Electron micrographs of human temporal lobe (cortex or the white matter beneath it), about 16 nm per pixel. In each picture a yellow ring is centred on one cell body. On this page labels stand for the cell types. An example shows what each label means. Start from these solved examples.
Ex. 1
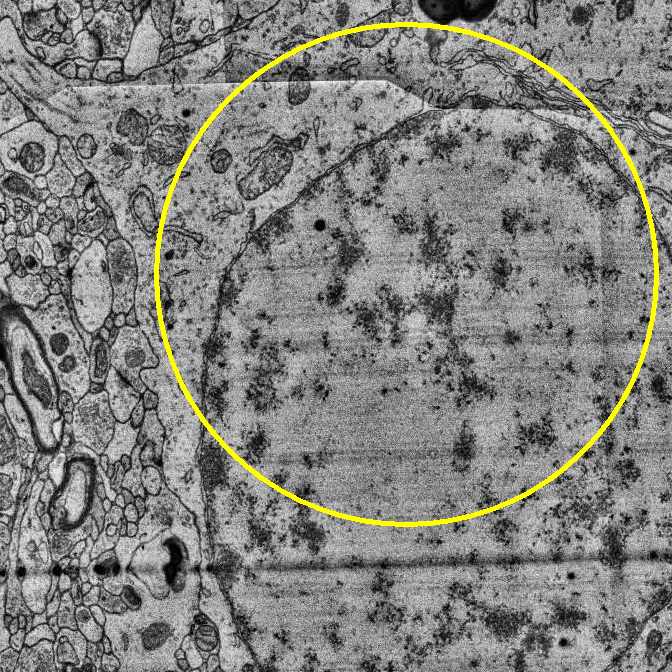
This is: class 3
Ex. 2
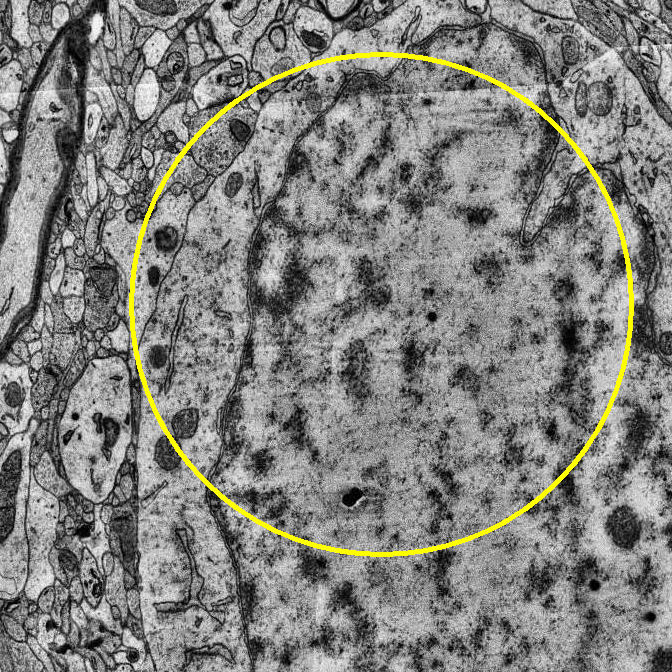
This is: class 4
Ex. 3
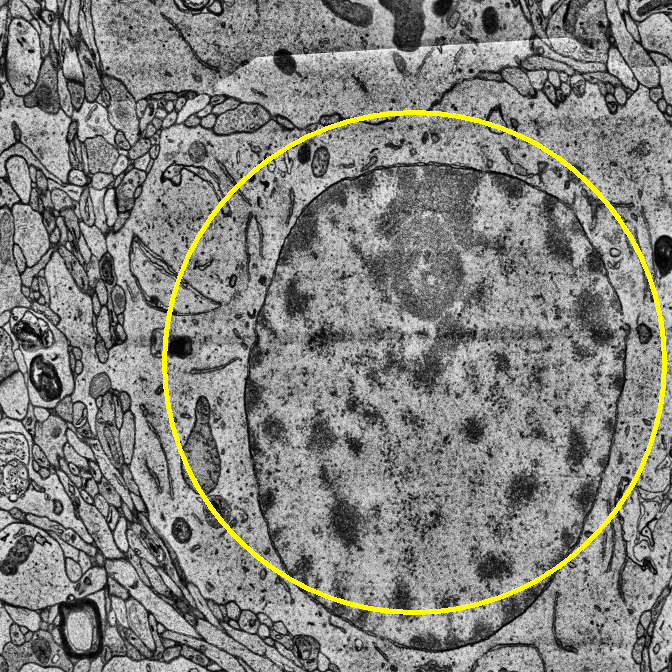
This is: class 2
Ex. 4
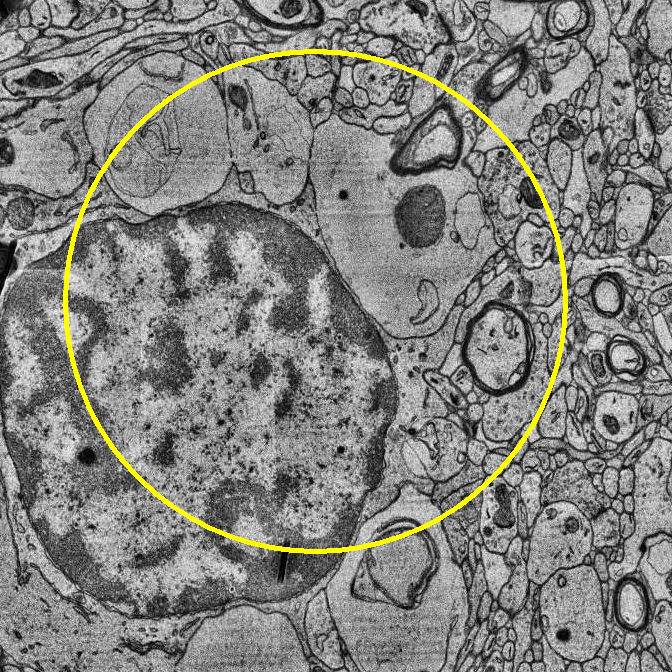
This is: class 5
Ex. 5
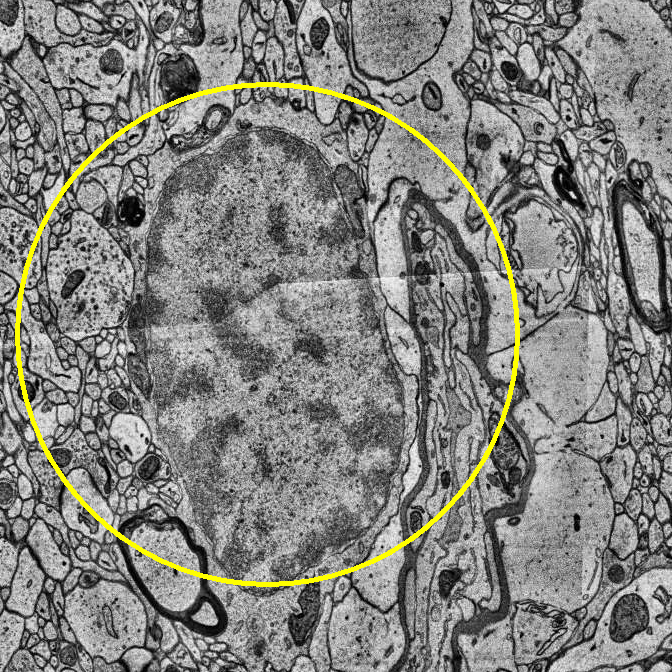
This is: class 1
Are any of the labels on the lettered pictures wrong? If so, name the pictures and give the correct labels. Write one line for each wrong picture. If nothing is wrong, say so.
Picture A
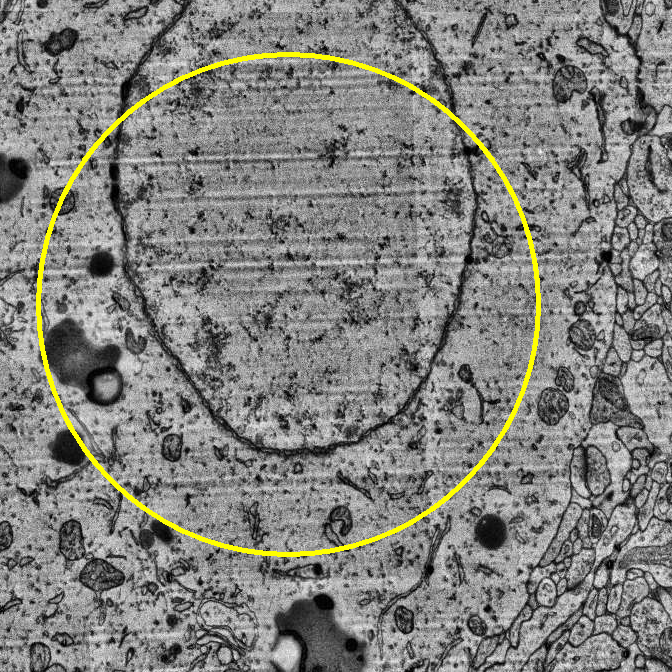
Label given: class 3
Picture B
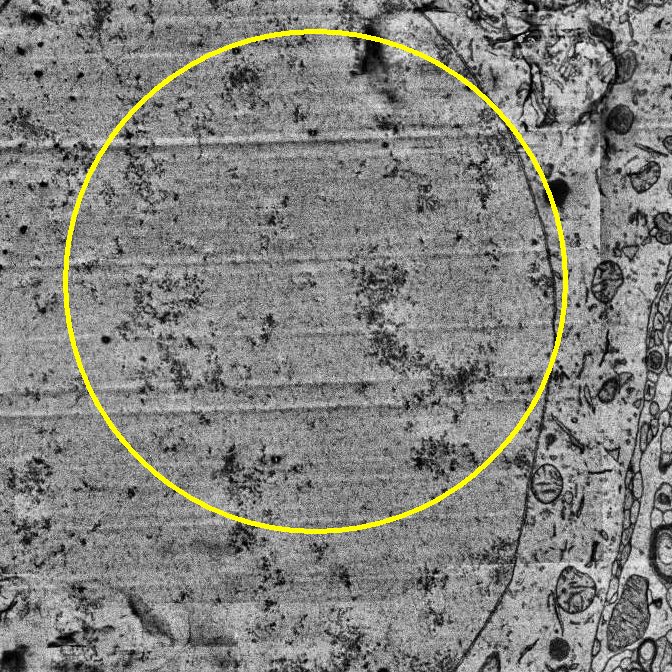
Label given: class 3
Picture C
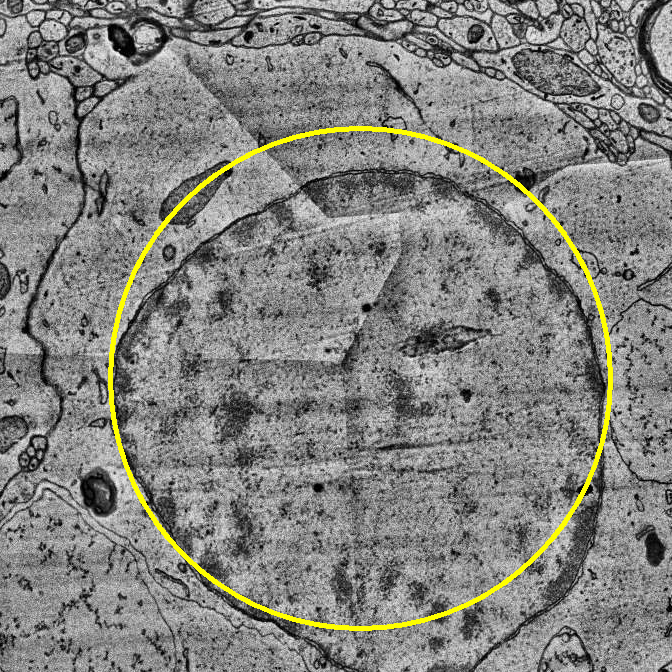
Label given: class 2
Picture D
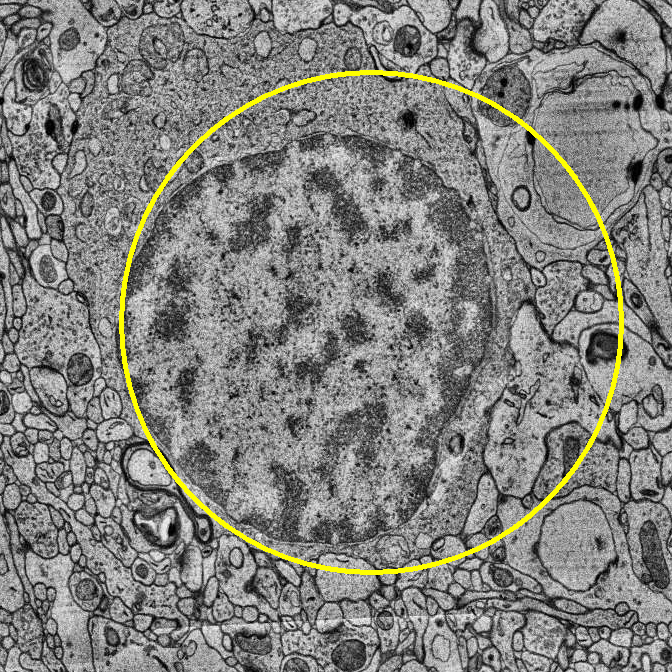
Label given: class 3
D: class 1, not class 3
